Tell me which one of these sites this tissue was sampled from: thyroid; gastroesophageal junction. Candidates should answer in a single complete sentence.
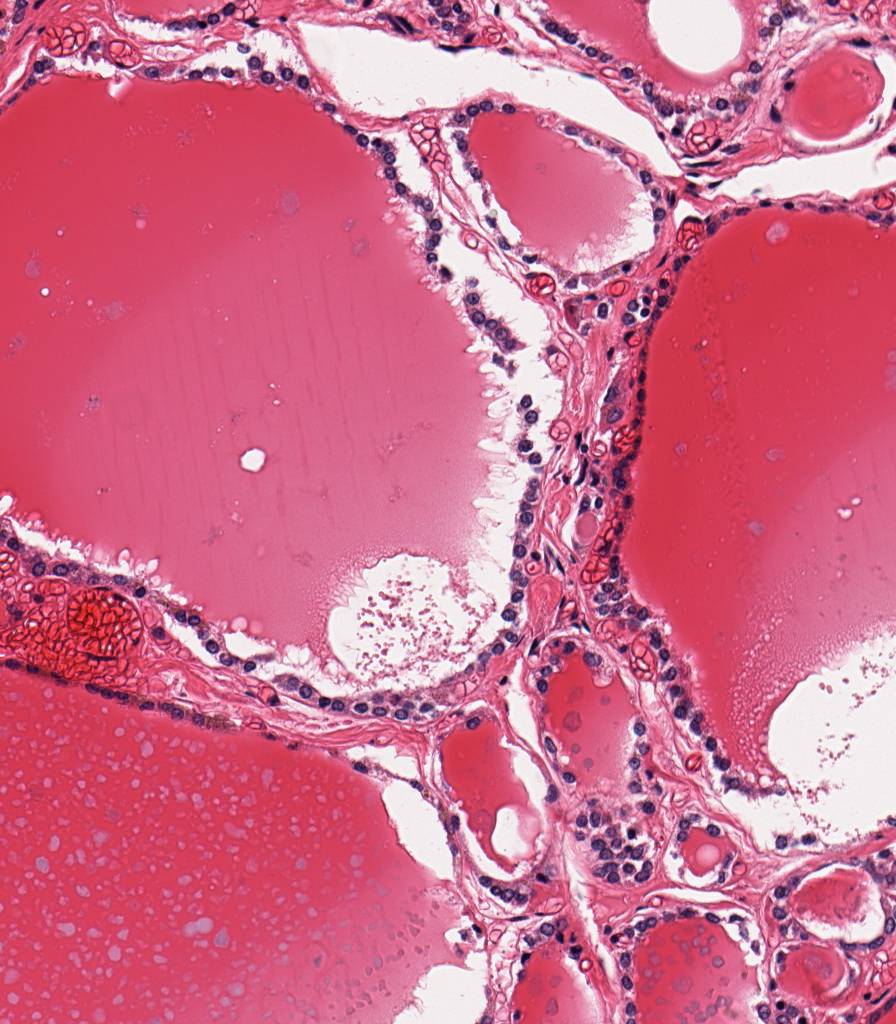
A specimen of the thyroid is what this section contains.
